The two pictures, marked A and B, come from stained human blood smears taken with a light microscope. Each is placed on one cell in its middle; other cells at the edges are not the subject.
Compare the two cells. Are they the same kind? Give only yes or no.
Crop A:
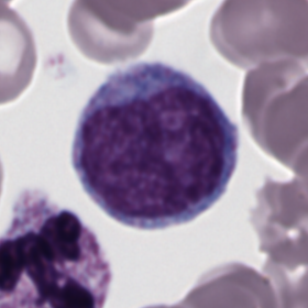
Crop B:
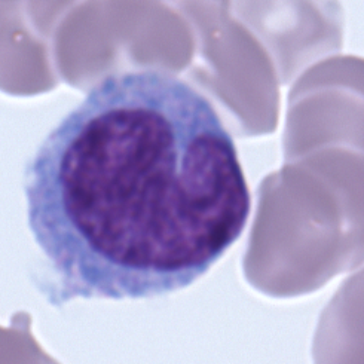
yes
